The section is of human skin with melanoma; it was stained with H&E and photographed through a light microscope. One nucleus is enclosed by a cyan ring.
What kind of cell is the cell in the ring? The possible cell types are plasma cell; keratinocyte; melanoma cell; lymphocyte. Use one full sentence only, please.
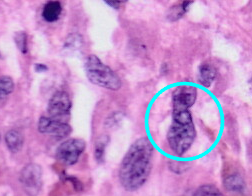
Right, so the cell in the ring is a melanoma cell, to answer that.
